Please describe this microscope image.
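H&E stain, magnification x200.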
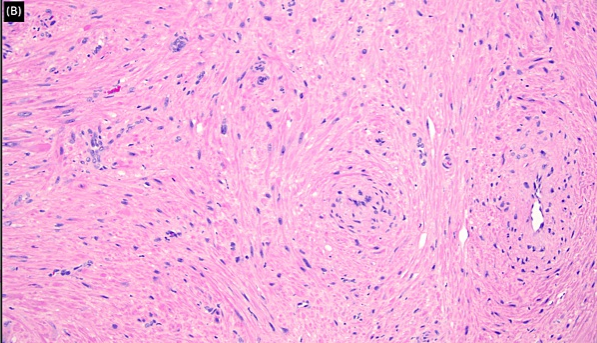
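Spindle-cell tissue made of smooth muscle fibers with eosinophilic, finely fibrillar pink cytoplasm, running in interlacing fascicles and whorls. Scattered among the fibers are small capillary-type vascular channels: narrow, slit-like or round empty lumina, some with a red blood cell, around which the muscle cells are arranged concentrically, forming whorled nodules. Stroma between fascicles is pale pink; a few clustered darker nuclei appear in the upper left.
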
